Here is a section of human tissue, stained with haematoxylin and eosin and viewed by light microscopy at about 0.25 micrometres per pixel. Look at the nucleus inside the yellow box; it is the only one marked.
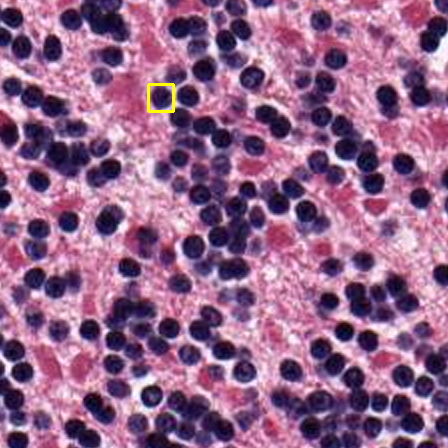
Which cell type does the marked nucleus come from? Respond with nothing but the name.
cerebellar granule cell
